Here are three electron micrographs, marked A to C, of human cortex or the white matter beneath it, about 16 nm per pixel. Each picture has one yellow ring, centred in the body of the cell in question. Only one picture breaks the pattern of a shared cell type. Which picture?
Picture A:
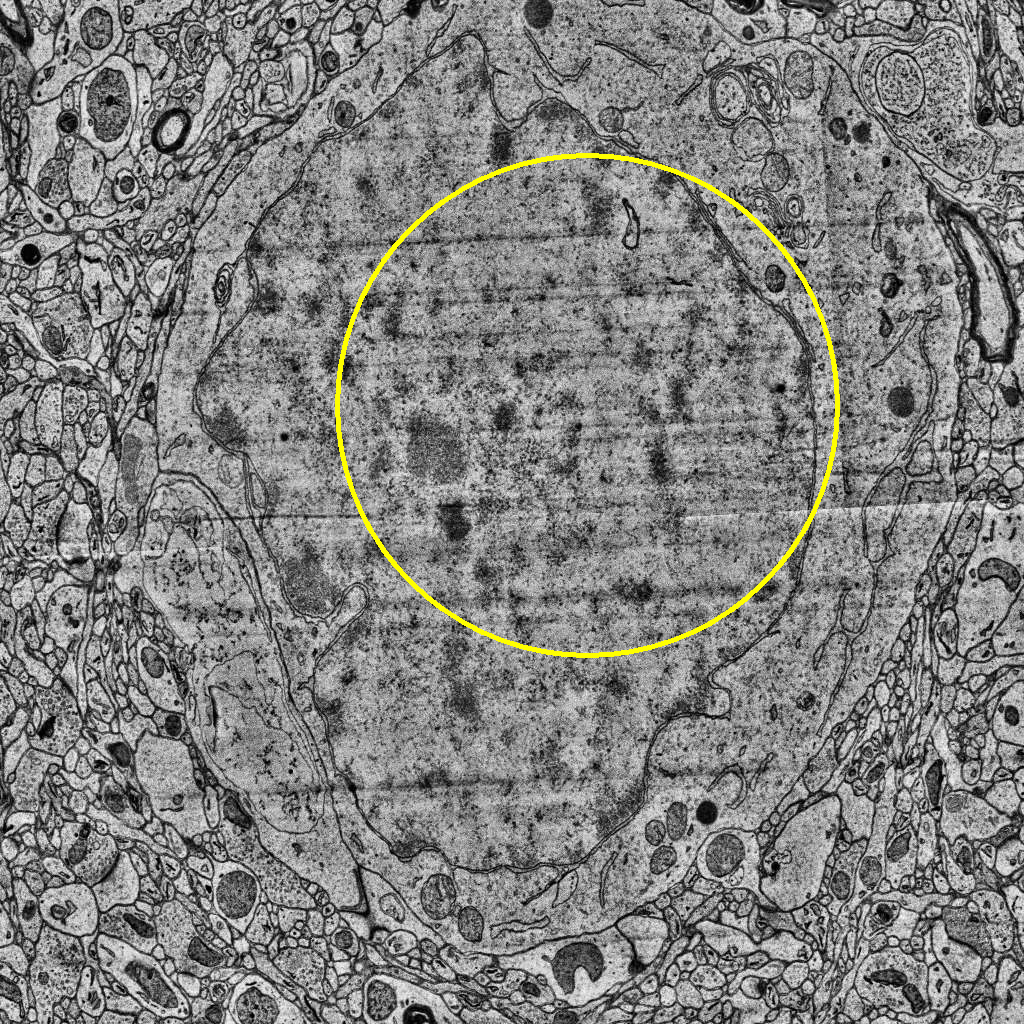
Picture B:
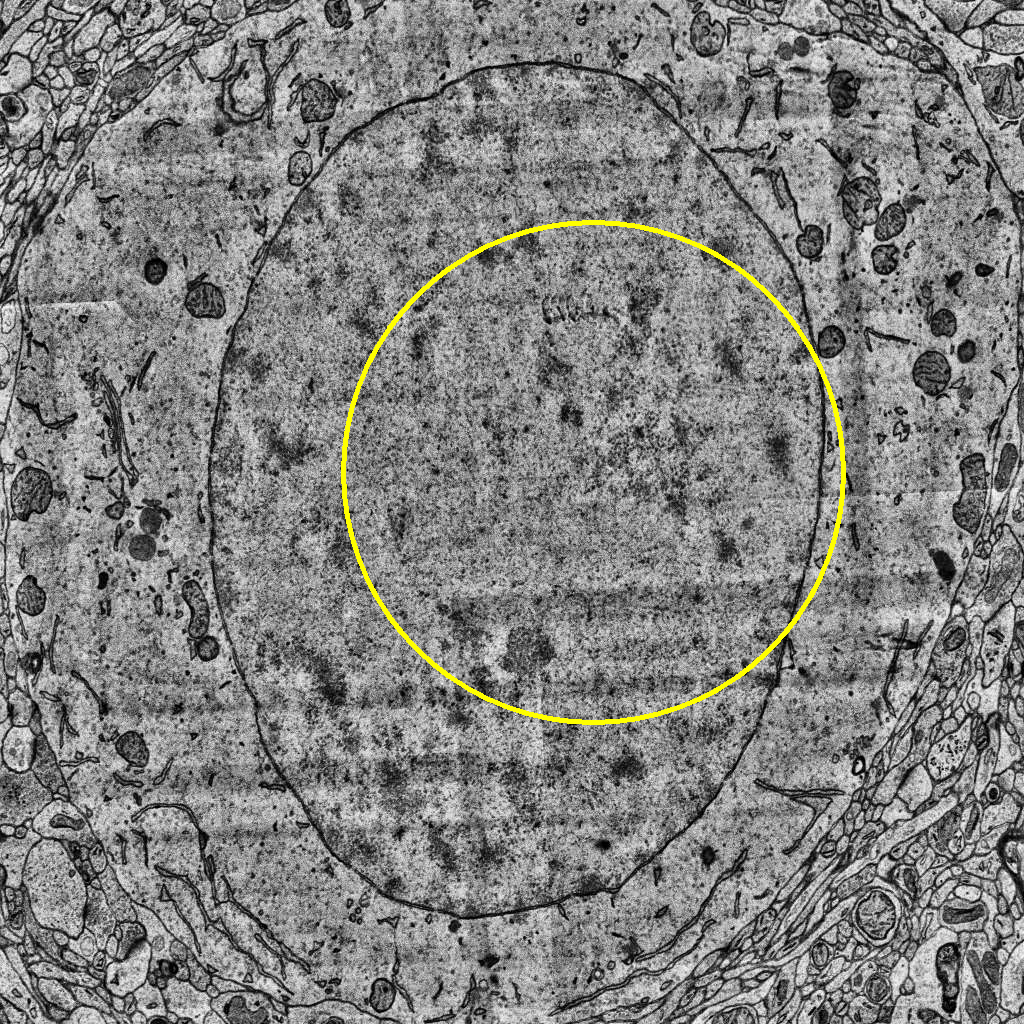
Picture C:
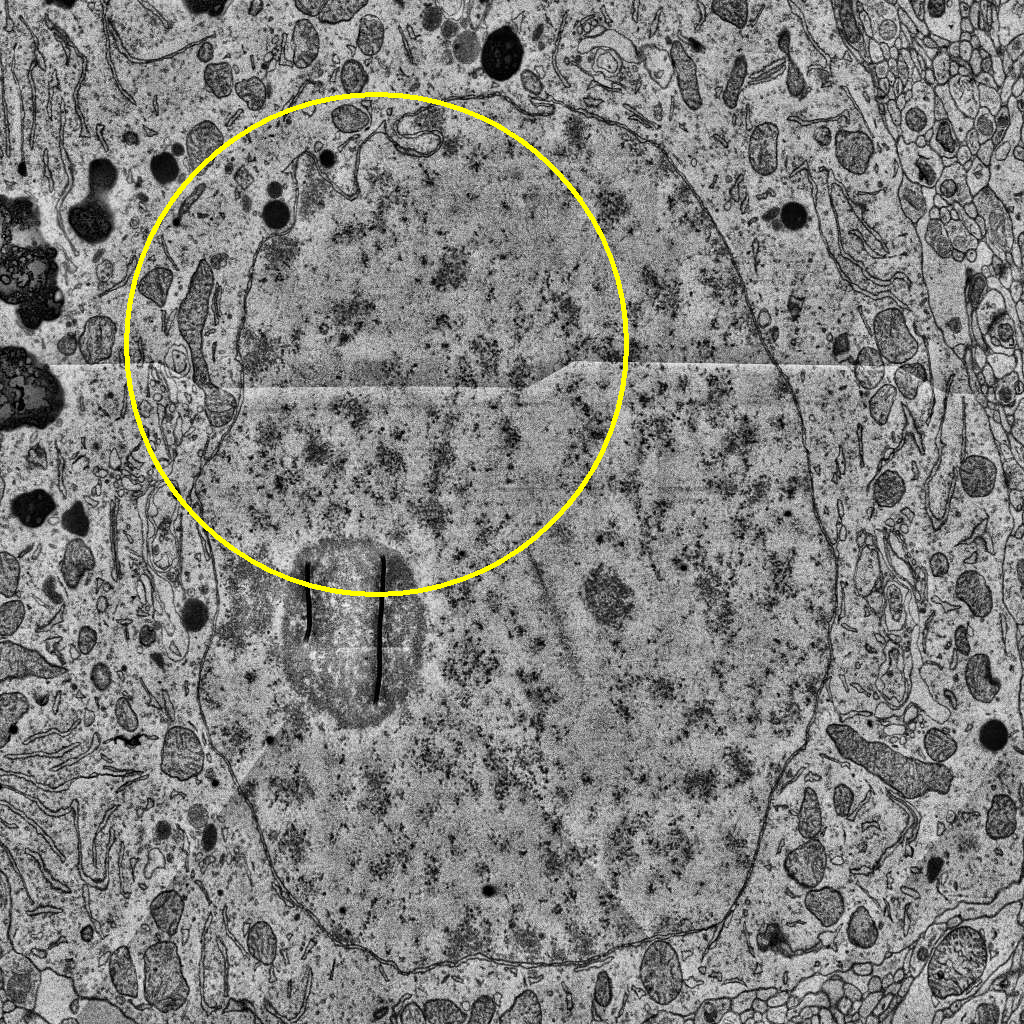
All pictures except B show interneurons; picture B shows a pyramidal neuron.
